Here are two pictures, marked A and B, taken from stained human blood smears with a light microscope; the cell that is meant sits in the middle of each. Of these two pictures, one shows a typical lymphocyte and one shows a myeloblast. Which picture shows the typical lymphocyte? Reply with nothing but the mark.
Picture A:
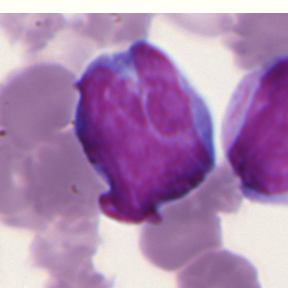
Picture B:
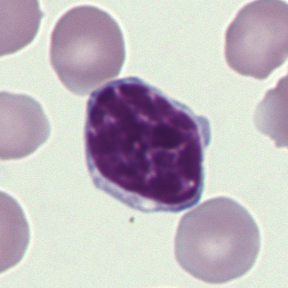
B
